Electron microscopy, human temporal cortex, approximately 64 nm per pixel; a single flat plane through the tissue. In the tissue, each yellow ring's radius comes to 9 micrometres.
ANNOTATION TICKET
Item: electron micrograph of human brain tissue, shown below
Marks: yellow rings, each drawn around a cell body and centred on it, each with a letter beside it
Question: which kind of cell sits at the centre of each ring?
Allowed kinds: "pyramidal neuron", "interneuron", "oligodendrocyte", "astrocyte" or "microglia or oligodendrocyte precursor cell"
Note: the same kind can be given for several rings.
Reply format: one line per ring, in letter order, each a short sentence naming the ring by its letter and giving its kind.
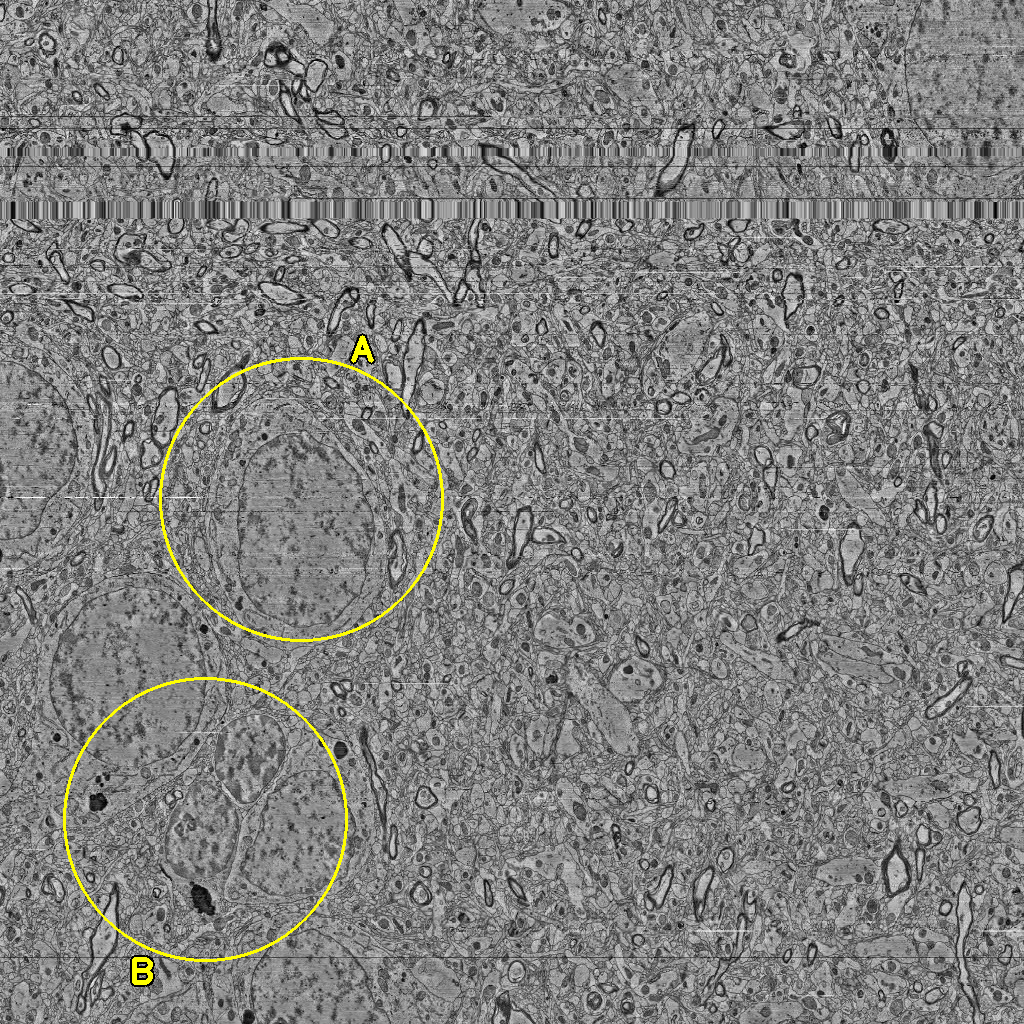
The cell at the centre of ring A is a pyramidal neuron.
The cell at the centre of ring B is an oligodendrocyte.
